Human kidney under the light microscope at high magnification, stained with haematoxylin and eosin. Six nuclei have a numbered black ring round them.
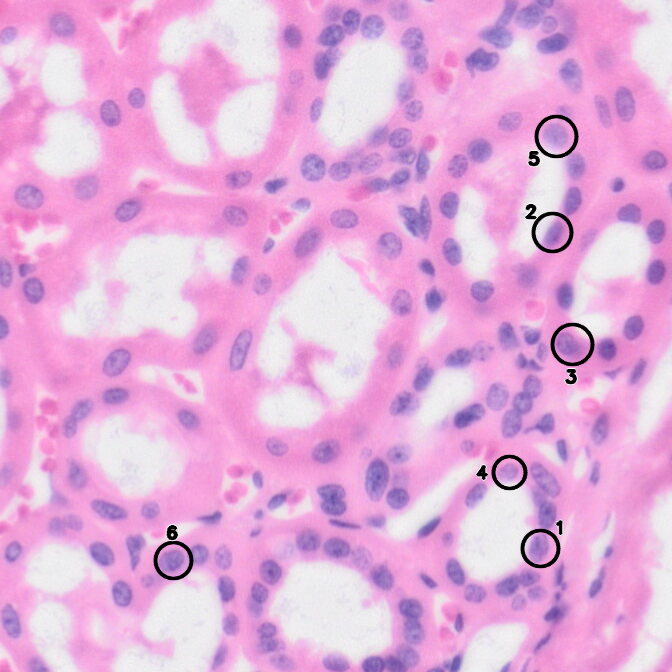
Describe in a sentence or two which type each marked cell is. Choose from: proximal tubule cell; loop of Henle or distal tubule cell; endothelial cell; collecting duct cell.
Cell 1 is a collecting duct cell, cell 2 is a loop of Henle or distal tubule cell, cell 3 is a collecting duct cell, cell 4 is a collecting duct cell, cell 5 is a loop of Henle or distal tubule cell and cell 6 is a collecting duct cell.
